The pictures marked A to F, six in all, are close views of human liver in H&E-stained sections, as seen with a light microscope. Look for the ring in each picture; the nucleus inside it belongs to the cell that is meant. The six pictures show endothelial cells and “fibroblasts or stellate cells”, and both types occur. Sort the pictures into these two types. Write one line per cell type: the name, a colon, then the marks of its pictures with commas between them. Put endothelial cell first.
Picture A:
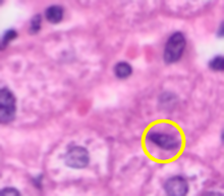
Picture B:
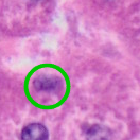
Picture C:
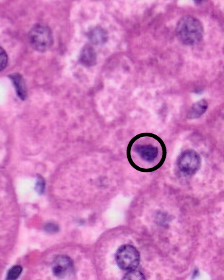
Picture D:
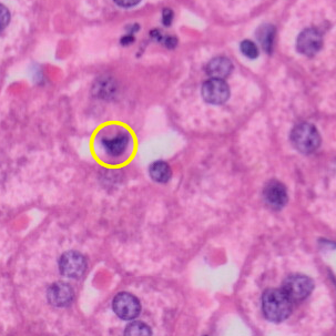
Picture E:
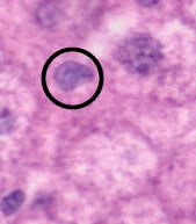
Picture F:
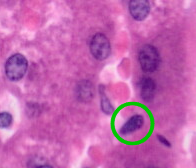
endothelial cell: B, E
fibroblast or stellate cell: A, C, D, F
